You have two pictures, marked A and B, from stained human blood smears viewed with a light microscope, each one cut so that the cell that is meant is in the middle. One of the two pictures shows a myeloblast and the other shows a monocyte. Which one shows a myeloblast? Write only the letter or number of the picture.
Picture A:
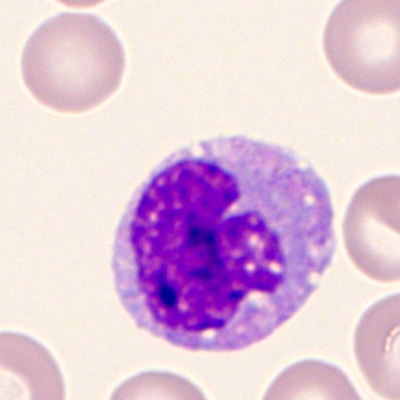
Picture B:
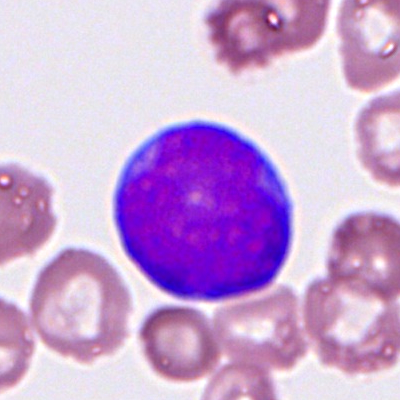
B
